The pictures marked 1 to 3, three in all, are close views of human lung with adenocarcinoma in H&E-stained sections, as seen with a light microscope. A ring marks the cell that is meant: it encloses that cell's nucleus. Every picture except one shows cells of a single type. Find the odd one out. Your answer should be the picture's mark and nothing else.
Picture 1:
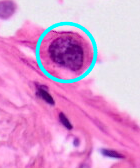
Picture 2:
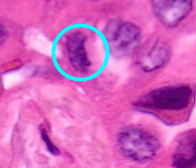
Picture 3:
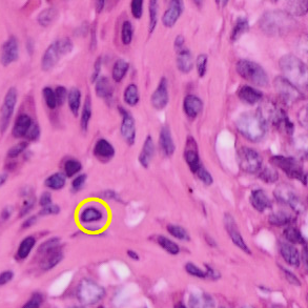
3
